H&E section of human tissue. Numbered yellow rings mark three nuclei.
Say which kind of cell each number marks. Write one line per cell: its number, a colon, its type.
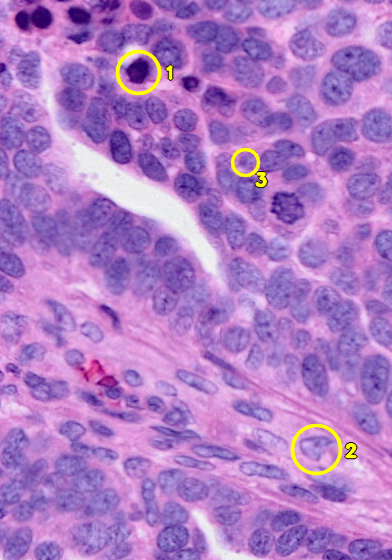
1: carcinoma cell
2: fibroblast
3: carcinoma cell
